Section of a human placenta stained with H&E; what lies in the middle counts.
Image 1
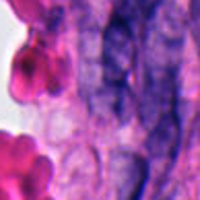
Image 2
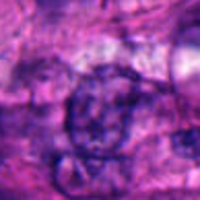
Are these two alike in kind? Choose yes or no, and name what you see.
No. First a vascular myocyte, second a cytotrophoblast.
